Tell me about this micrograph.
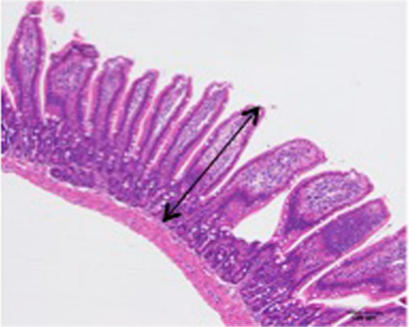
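A section of the small intestinal wall shows tall, broad villi standing closely side by side above a dense, deeply purple band of crypts. The villi are covered by a single layer of columnar epithelial cells with basally placed purple nuclei, around cores of lamina propria with scattered cells. The crypt zone lies directly on a thin pink band of smooth muscle at the bottom of the section. The villi have rounded tips, and some are cut obliquely so that they appear wide and club-shaped. The lumen between them is clear.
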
